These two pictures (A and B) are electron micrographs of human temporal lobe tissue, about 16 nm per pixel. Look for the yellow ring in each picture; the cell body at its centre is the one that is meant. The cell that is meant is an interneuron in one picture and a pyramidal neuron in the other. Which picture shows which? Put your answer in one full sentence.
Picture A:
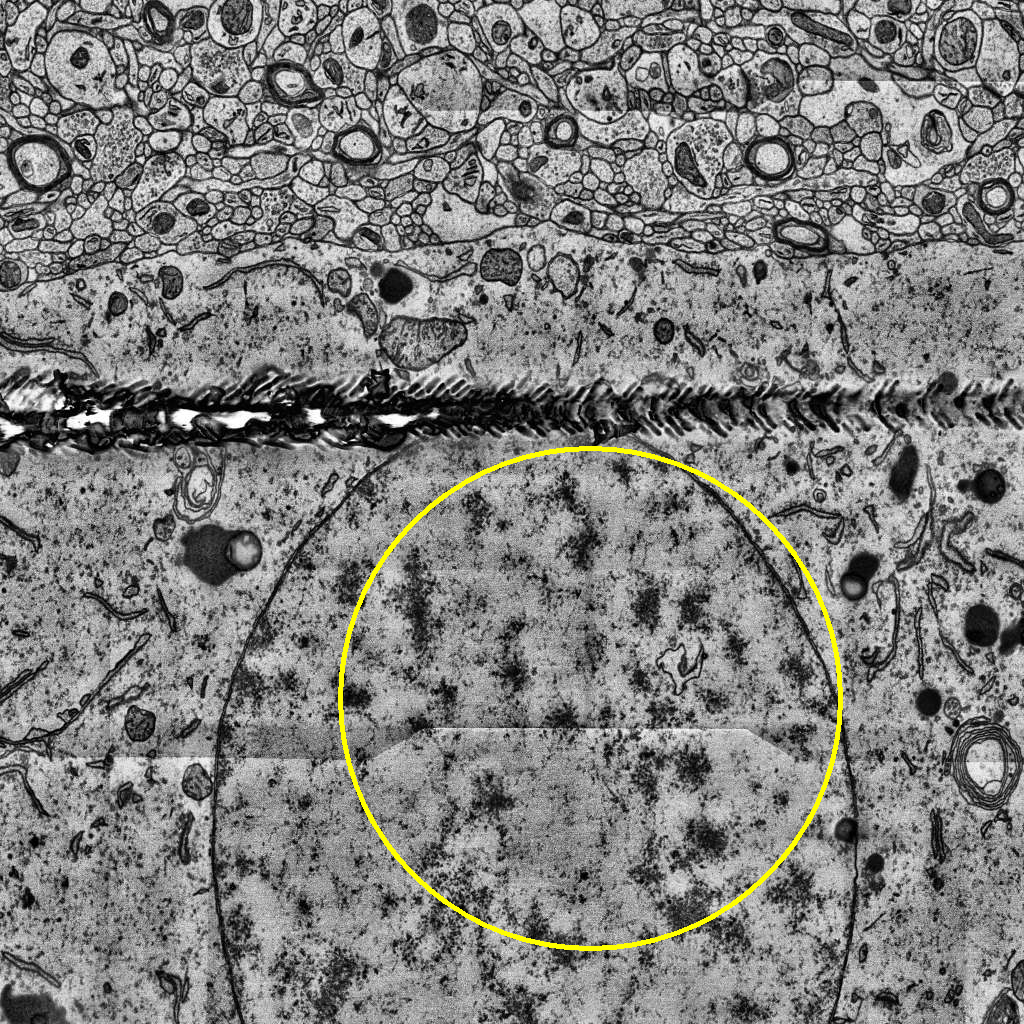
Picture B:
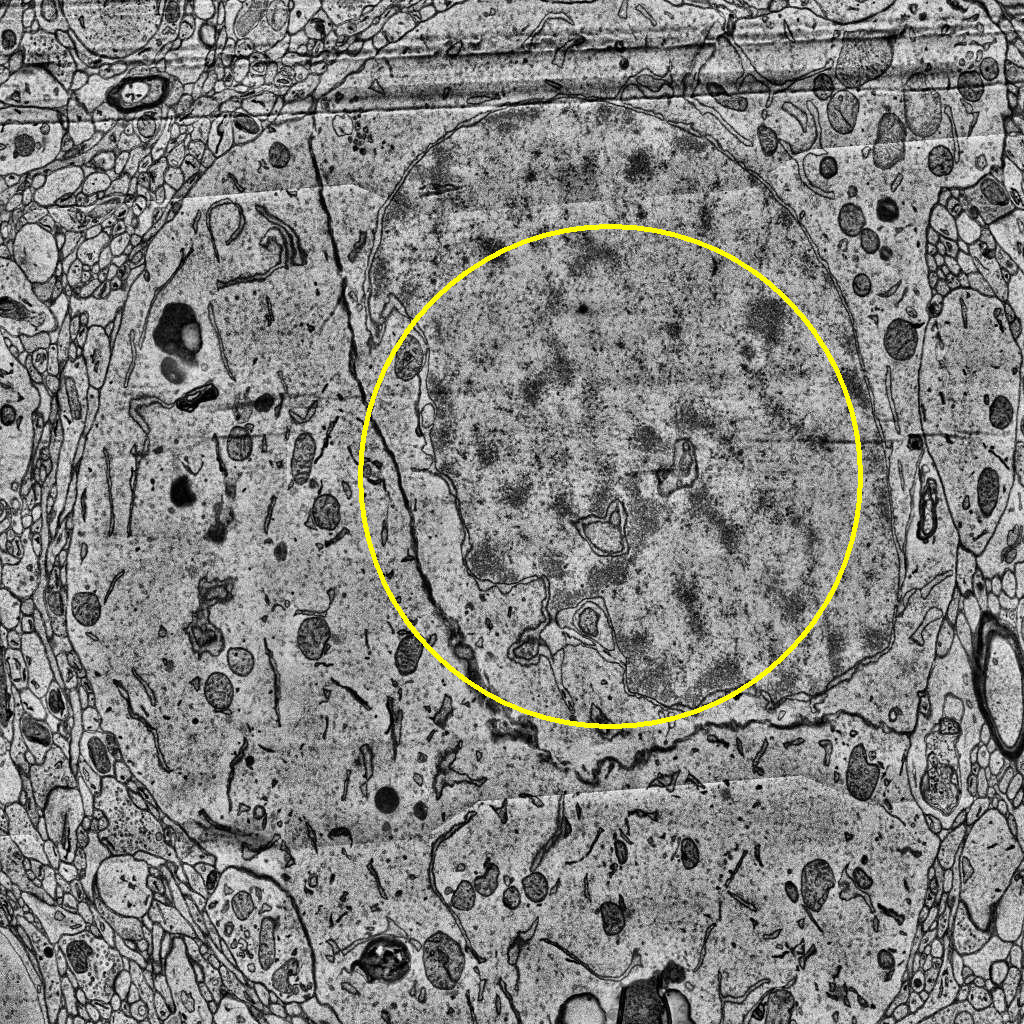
Picture B shows an interneuron, while picture A shows a pyramidal neuron.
